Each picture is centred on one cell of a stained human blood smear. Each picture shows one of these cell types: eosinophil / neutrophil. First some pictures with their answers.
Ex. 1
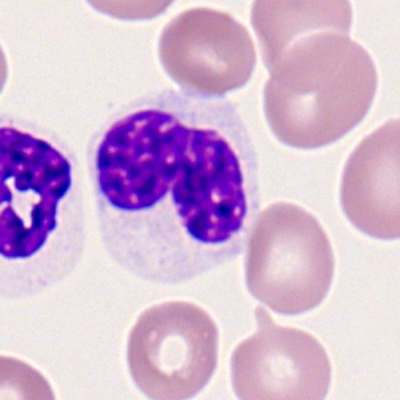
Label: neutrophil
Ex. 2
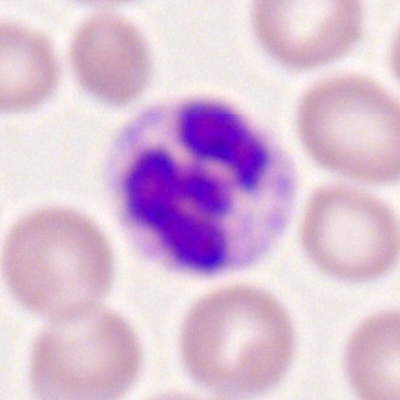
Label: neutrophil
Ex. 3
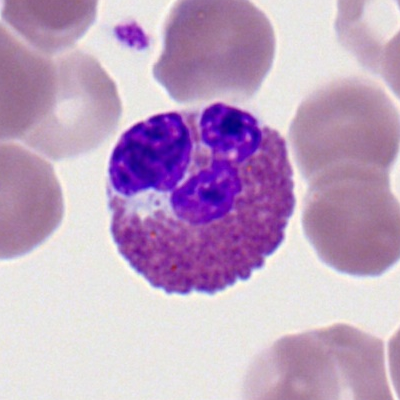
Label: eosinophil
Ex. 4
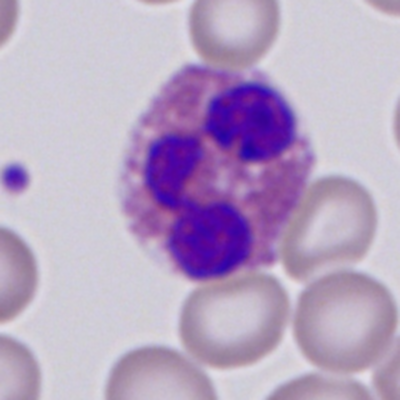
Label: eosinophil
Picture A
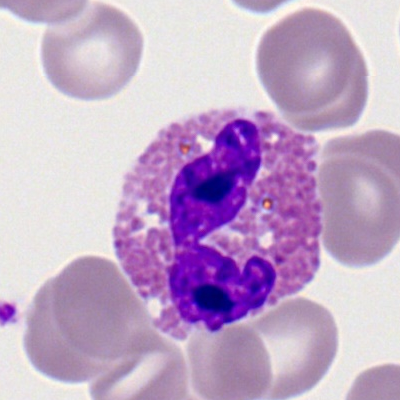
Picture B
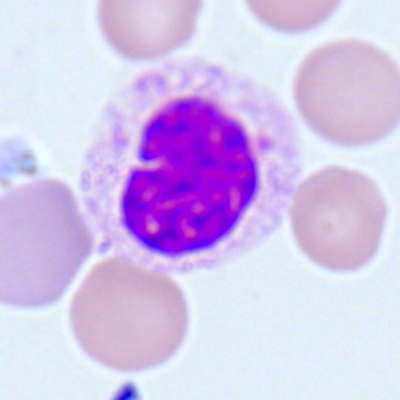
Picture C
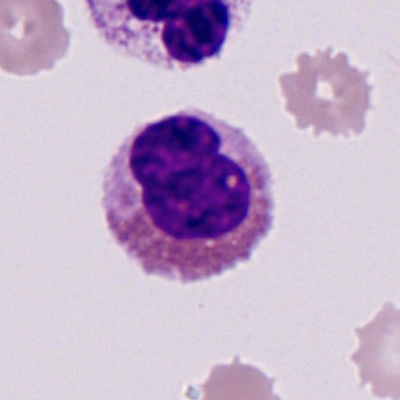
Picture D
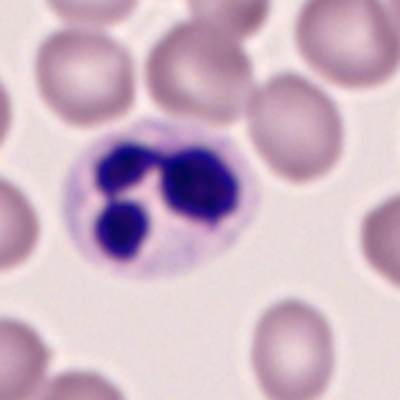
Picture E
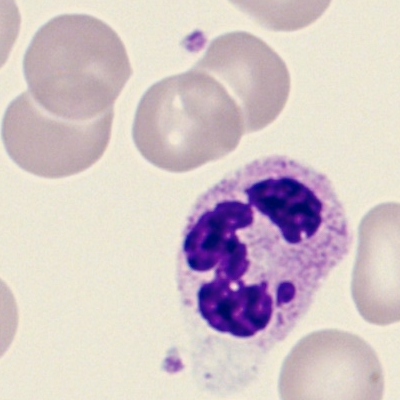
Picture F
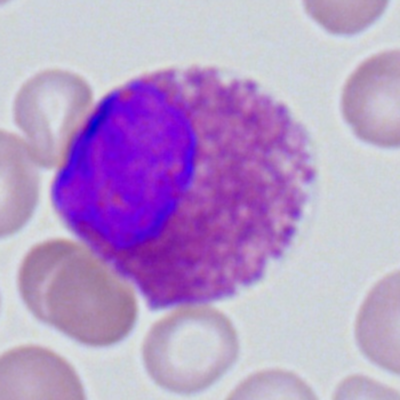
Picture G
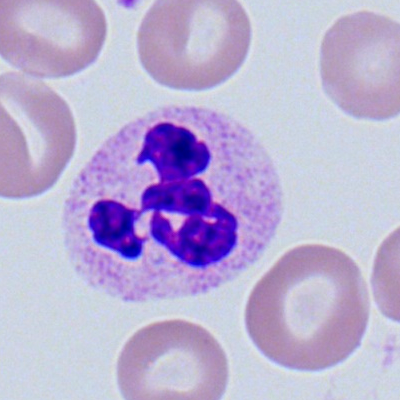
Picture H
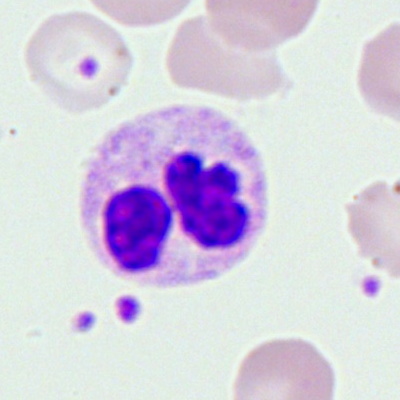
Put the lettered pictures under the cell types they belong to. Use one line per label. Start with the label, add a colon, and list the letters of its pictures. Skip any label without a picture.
eosinophil: A, C, F
neutrophil: B, D, E, G, H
